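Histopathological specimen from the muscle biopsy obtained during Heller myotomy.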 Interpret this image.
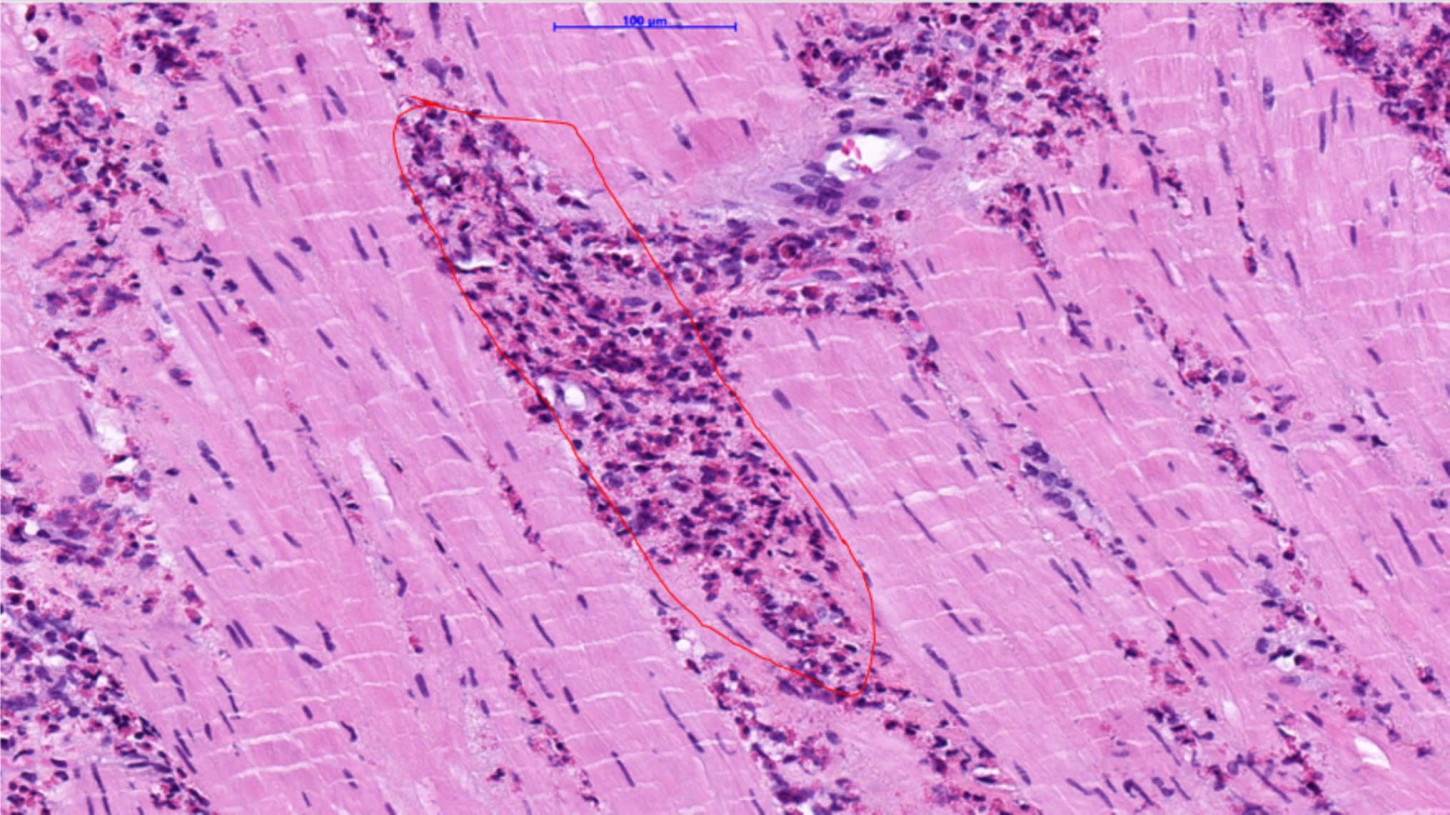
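Between the fiber bundles lie dense bands of inflammatory cells. Many of these cells have bright red-pink granular cytoplasm and small dark nuclei, some of them lobed. The largest collection is a spindle-shaped band that follows the grain of the fibers, and smaller clusters sit in the spaces between other bundles. Near the top lies a small vessel with a lumen containing a few red cells.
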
